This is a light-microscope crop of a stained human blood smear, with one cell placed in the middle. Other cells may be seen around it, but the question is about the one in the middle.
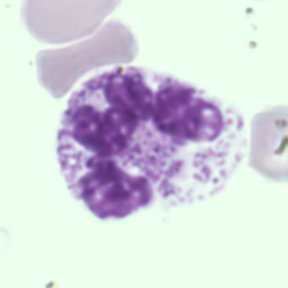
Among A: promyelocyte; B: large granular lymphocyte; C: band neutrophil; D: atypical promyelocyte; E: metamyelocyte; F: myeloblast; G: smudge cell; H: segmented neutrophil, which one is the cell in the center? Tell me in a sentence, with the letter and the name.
Answer key: option H, the middle cell being a segmented neutrophil.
